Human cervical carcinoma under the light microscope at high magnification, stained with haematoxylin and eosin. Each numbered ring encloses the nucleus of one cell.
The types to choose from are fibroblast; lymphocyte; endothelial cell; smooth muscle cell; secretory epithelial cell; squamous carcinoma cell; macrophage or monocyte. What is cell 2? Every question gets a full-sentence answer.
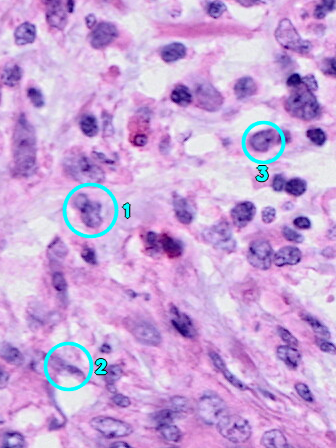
It is as a fibroblast that the cell numbered 2 is identified.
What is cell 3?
Cell 3 is classified as a macrophage or monocyte.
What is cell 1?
Cell 1 in the field is a macrophage or monocyte.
